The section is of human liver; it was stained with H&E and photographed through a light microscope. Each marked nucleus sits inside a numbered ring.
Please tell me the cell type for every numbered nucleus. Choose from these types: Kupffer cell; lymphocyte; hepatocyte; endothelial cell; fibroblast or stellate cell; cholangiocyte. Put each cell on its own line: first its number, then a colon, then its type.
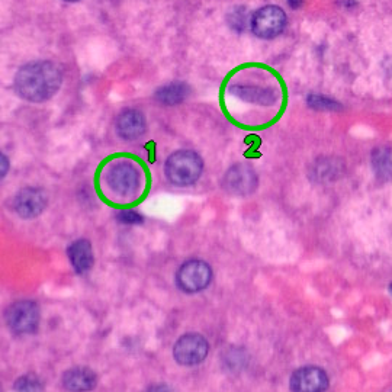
1: hepatocyte
2: Kupffer cell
